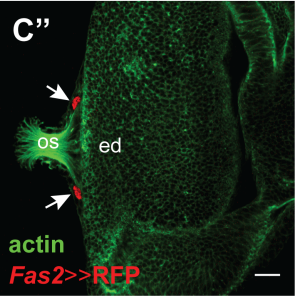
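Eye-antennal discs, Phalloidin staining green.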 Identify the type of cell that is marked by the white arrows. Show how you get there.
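Carpet cells. Two red nuclei lie at the edge of the disc where the green stalk joins it. The two nuclei flank the point of entry of the stalk.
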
